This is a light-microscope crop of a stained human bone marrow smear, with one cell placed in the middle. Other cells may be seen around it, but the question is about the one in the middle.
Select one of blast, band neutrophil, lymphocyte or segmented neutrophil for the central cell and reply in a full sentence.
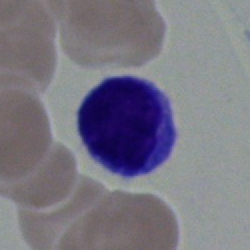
The cell shown in the center of this light-microscope crop is a lymphocyte.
